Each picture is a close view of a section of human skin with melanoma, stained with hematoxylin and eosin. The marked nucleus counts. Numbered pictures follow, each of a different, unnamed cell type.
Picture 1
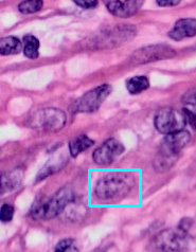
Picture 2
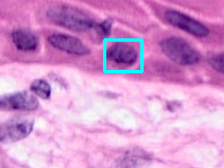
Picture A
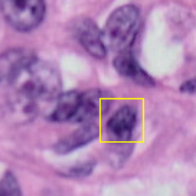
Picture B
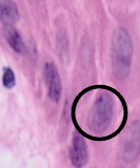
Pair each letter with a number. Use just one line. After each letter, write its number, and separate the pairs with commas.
A 1, B 2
